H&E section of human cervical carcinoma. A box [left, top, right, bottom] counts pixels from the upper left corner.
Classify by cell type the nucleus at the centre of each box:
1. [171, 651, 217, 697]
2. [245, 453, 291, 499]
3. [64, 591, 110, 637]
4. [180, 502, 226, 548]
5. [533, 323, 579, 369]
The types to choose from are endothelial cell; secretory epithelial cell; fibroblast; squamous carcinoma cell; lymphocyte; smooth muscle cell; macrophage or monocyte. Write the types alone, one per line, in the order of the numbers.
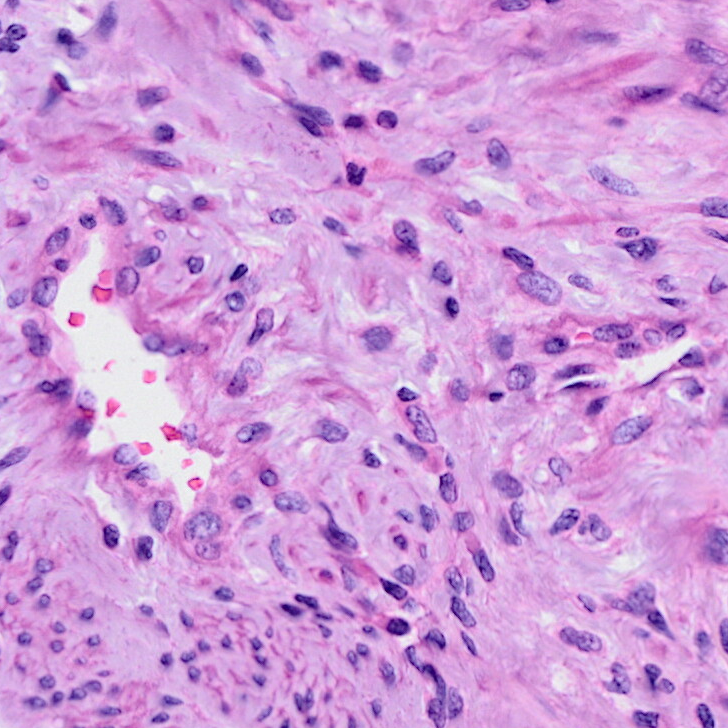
smooth muscle cell
smooth muscle cell
smooth muscle cell
endothelial cell
endothelial cell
